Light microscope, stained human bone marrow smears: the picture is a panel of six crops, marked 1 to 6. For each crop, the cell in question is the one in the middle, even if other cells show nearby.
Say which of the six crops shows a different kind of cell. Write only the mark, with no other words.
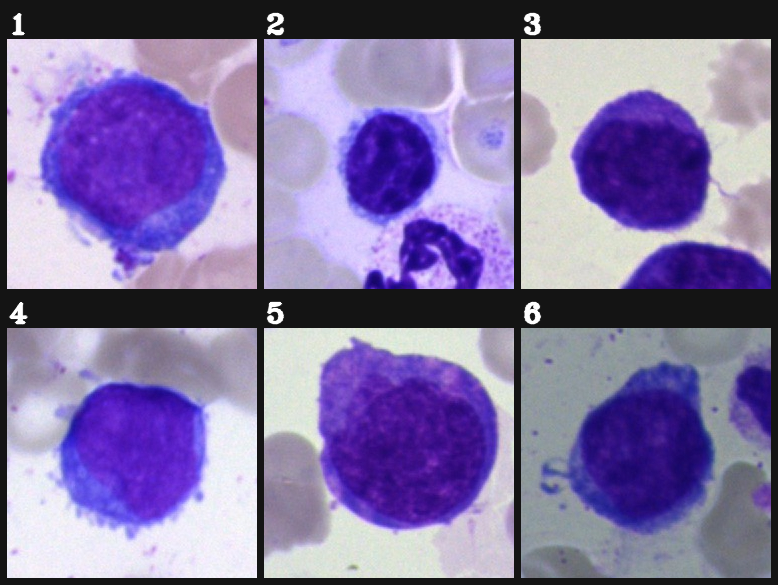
2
